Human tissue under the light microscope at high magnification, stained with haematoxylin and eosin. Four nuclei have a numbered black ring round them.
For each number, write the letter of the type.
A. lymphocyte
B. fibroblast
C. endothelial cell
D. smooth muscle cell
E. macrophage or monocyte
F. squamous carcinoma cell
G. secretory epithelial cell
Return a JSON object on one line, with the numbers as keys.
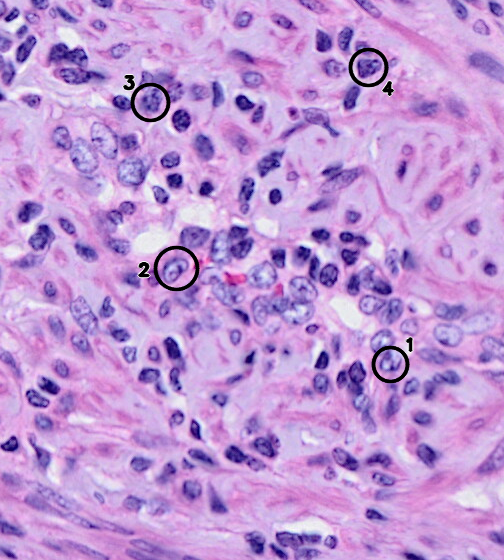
{"1": "C", "2": "C", "3": "A", "4": "A"}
